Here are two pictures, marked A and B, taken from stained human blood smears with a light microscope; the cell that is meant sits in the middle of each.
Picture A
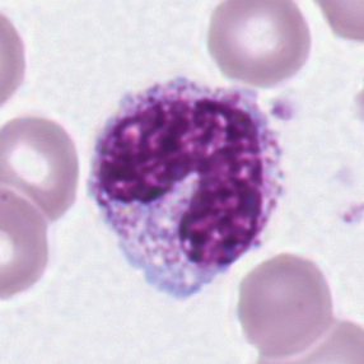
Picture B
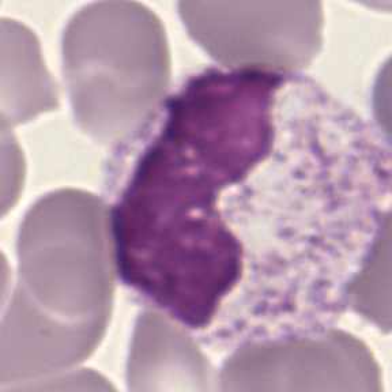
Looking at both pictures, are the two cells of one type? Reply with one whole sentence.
Yes, the two pictures both show band neutrophils.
